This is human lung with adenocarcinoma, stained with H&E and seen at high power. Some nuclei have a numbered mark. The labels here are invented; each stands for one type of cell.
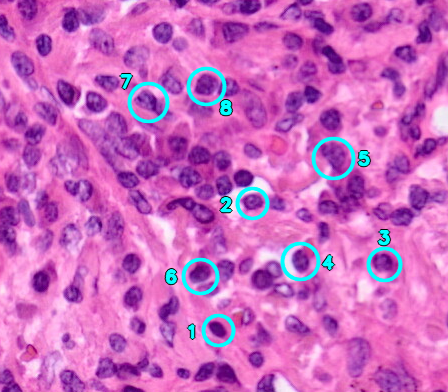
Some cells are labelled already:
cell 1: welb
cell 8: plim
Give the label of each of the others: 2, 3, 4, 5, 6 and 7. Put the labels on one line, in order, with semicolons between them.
plim; welb; plim; welb; welb; plim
